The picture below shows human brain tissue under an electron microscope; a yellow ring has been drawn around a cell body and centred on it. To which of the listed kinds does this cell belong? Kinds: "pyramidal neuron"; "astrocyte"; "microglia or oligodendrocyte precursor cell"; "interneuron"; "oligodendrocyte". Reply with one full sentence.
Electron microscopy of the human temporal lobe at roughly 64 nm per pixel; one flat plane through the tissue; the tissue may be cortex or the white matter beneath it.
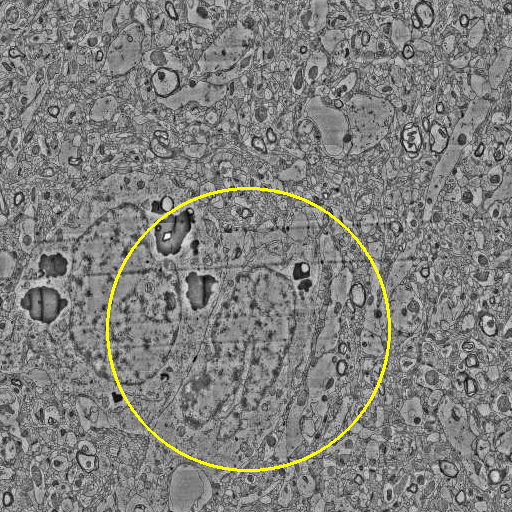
It is an interneuron that the yellow ring in the picture is centred on.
